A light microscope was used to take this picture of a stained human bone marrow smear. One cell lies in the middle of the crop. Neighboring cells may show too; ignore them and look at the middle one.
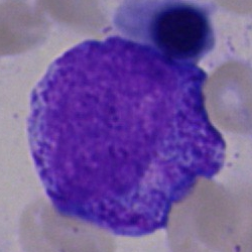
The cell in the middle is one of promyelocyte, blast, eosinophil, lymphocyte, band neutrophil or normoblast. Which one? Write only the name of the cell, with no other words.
promyelocyte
